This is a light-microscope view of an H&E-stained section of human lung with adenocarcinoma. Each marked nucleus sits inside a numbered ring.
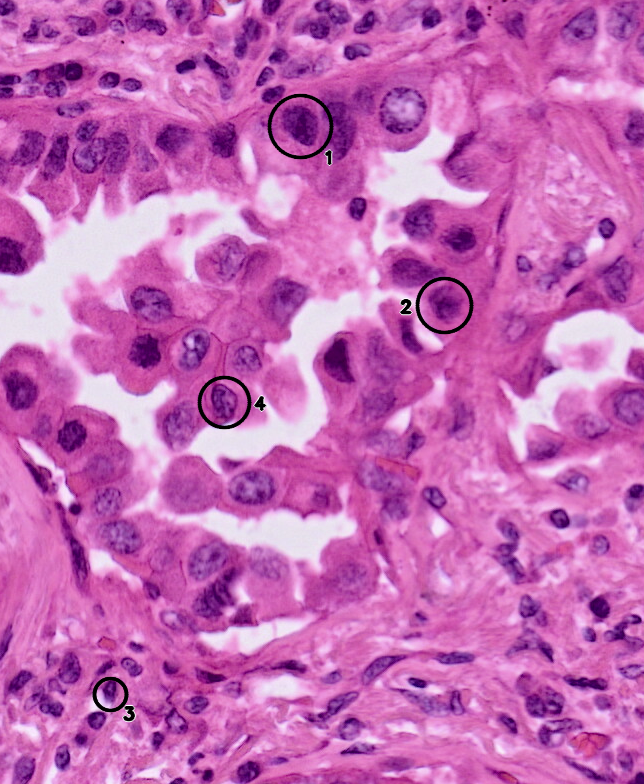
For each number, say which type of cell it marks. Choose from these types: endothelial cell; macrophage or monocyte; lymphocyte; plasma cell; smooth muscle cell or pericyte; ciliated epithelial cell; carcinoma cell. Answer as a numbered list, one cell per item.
1. carcinoma cell
2. carcinoma cell
3. plasma cell
4. carcinoma cell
